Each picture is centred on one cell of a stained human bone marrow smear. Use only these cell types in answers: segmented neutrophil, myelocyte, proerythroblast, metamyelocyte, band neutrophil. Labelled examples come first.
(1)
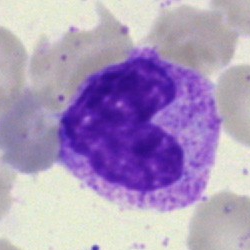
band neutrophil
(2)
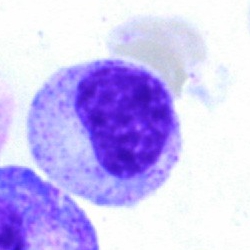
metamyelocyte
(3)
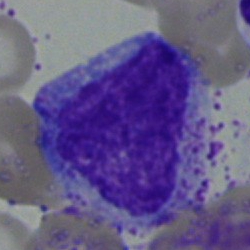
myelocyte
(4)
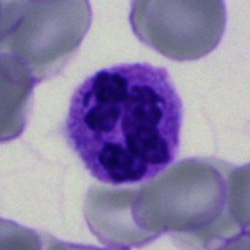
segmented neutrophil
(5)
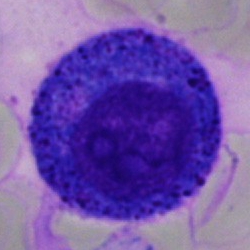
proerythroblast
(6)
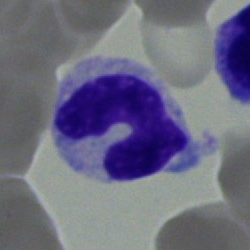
band neutrophil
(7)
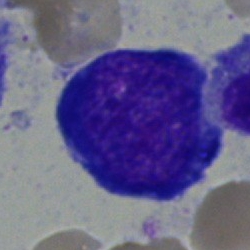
proerythroblast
